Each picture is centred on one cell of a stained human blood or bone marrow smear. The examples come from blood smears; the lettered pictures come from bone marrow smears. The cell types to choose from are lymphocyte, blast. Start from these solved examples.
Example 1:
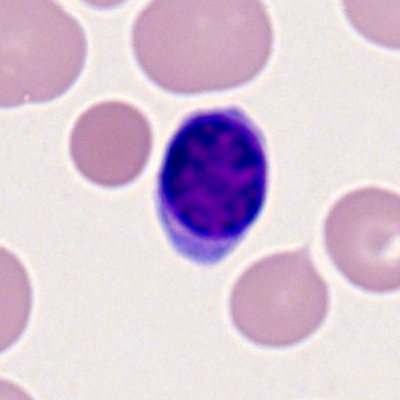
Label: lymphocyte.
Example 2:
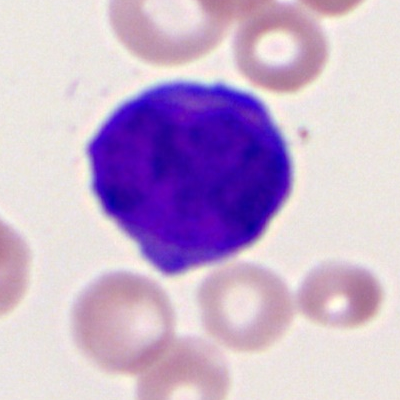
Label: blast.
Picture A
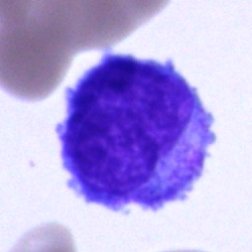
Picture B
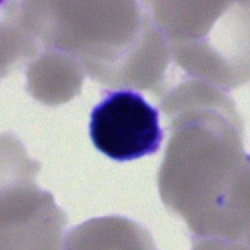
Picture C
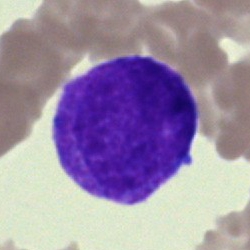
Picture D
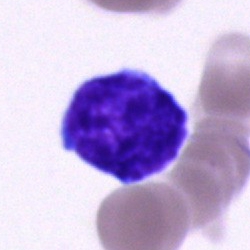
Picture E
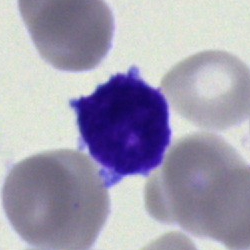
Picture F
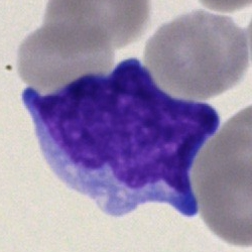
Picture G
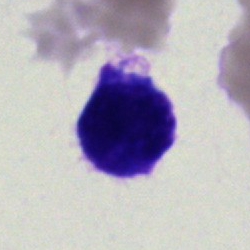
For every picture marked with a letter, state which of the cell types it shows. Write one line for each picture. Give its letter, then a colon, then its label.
A: blast.
B: lymphocyte.
C: blast.
D: blast.
E: blast.
F: blast.
G: blast.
